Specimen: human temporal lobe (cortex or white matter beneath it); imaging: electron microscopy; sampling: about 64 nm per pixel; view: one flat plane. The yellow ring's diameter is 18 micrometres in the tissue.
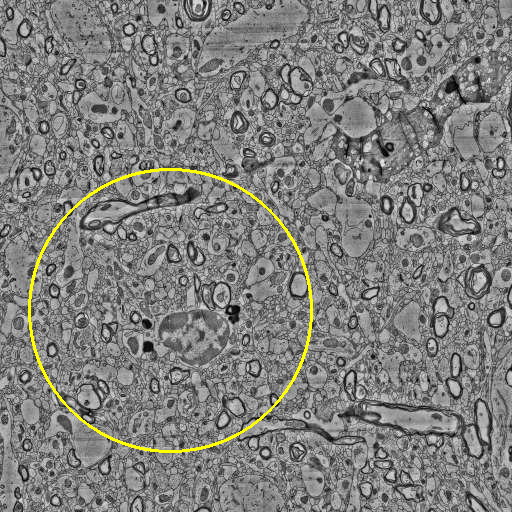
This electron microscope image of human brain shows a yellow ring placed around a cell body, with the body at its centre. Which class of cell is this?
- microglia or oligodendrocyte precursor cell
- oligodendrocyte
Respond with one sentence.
The cell body at the ring's centre is a microglial cell or oligodendrocyte precursor cell.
